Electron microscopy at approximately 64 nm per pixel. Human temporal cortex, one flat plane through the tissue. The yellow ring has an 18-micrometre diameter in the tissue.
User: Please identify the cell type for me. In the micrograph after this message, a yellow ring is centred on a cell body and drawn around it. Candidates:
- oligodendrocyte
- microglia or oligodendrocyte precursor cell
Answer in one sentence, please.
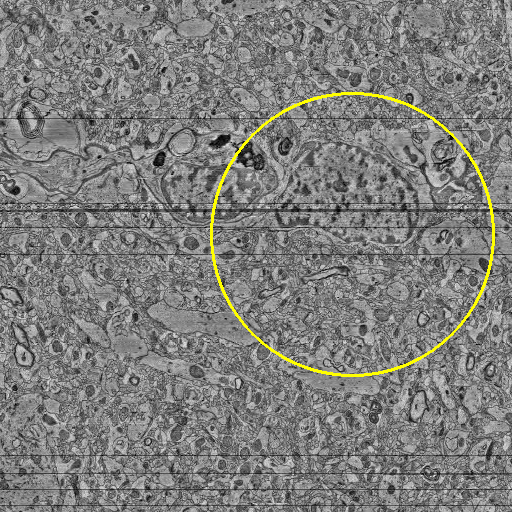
The ring is drawn around the cell body of a microglial cell or oligodendrocyte precursor cell.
